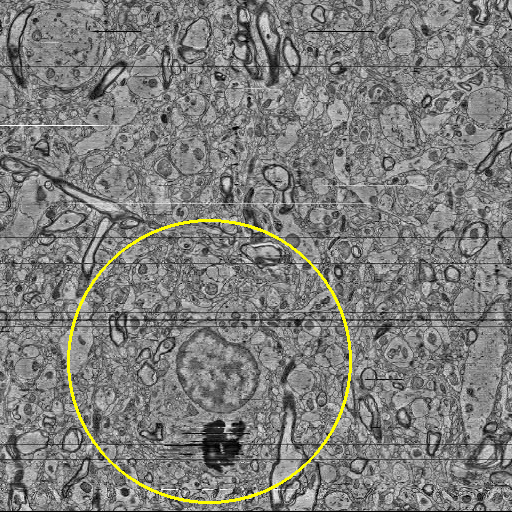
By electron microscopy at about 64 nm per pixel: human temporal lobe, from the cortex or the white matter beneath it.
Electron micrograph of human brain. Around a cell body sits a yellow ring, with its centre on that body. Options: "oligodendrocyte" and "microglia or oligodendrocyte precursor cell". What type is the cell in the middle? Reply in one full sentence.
The cell sitting at the centre of the yellow ring is an oligodendrocyte.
